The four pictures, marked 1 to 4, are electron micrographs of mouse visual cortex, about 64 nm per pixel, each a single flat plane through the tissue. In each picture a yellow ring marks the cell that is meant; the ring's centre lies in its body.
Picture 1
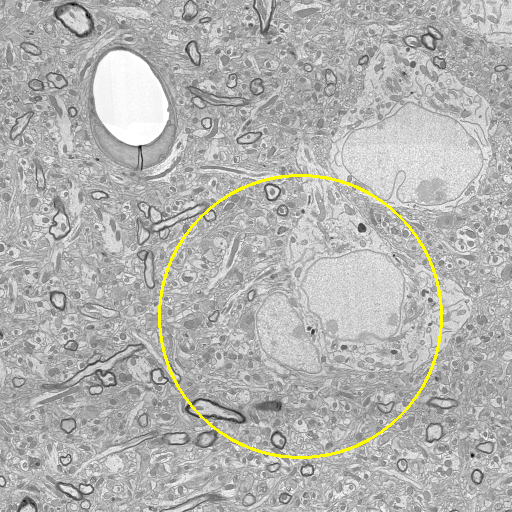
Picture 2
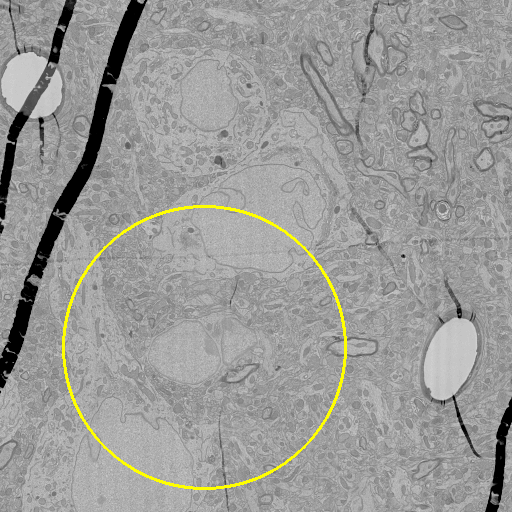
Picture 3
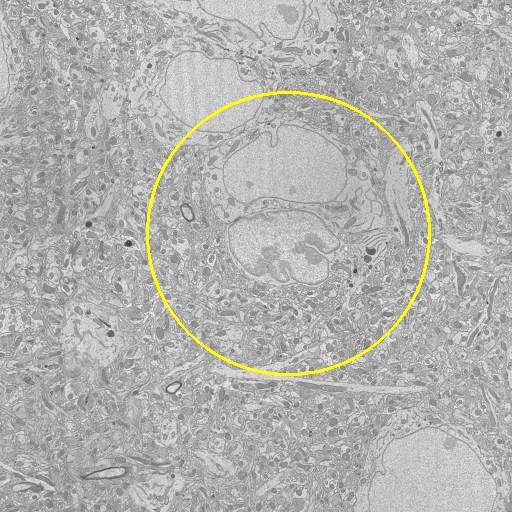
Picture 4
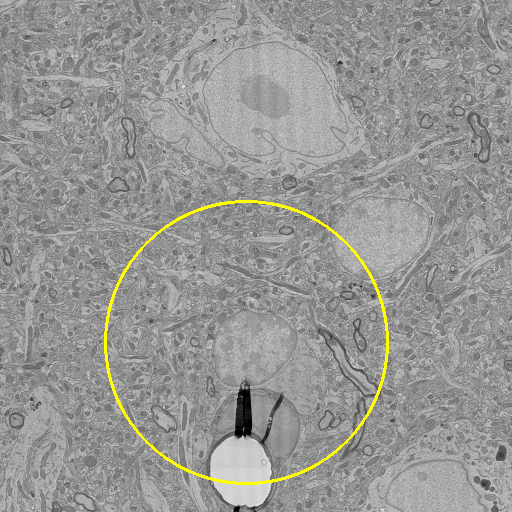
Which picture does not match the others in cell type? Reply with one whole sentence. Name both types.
All pictures except 4 show oligodendrocyte precursor cells; picture 4 shows an oligodendrocyte.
